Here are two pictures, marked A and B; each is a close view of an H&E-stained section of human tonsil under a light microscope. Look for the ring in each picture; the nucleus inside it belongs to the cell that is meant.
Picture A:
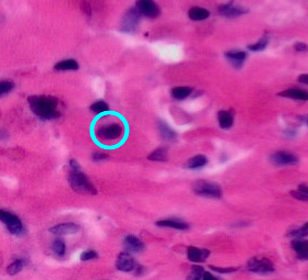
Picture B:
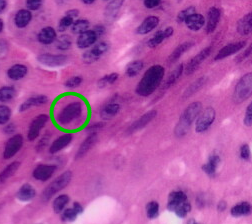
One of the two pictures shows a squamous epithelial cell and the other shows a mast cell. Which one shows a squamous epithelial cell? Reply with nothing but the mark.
B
